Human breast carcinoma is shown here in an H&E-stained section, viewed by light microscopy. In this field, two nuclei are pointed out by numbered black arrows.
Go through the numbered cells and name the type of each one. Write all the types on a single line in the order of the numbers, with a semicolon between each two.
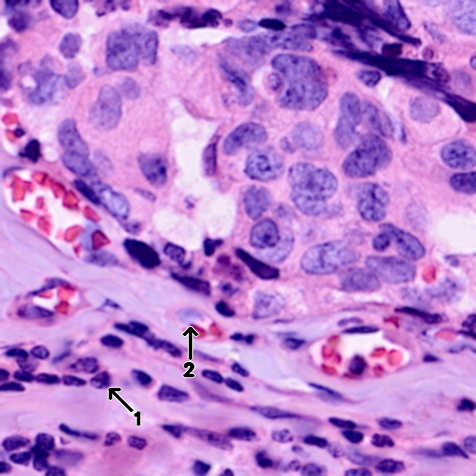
lymphocyte; endothelial cell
